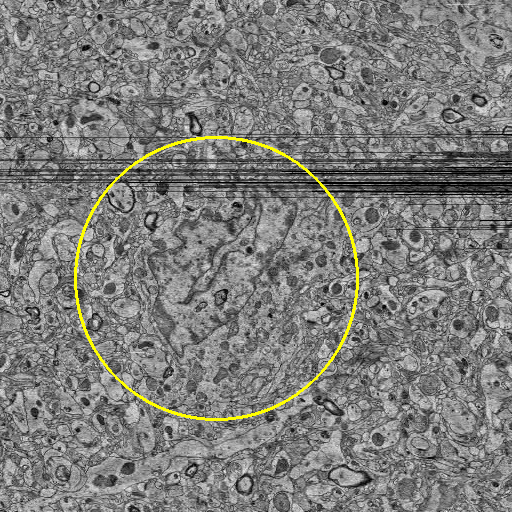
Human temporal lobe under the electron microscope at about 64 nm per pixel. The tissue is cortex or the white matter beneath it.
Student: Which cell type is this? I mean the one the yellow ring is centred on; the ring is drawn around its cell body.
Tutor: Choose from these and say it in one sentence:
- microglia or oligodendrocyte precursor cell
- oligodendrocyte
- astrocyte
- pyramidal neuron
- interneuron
The cell the ring is centred on is an interneuron.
